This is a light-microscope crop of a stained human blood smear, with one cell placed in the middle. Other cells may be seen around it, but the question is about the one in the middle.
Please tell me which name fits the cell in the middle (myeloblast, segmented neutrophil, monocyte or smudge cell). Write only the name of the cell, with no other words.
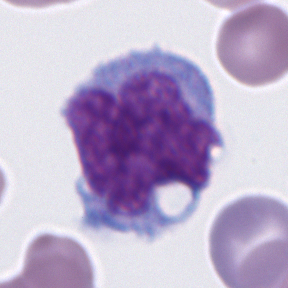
myeloblast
